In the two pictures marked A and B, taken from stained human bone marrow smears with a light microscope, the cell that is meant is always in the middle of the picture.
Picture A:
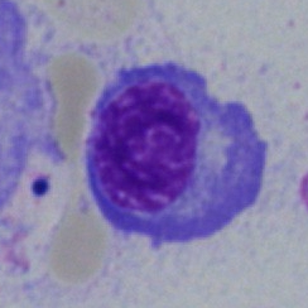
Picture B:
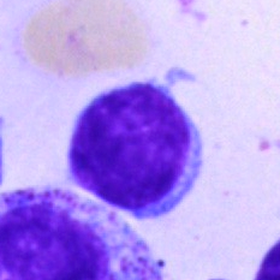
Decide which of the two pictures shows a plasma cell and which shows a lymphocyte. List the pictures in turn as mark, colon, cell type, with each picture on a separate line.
A: plasma cell
B: lymphocyte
